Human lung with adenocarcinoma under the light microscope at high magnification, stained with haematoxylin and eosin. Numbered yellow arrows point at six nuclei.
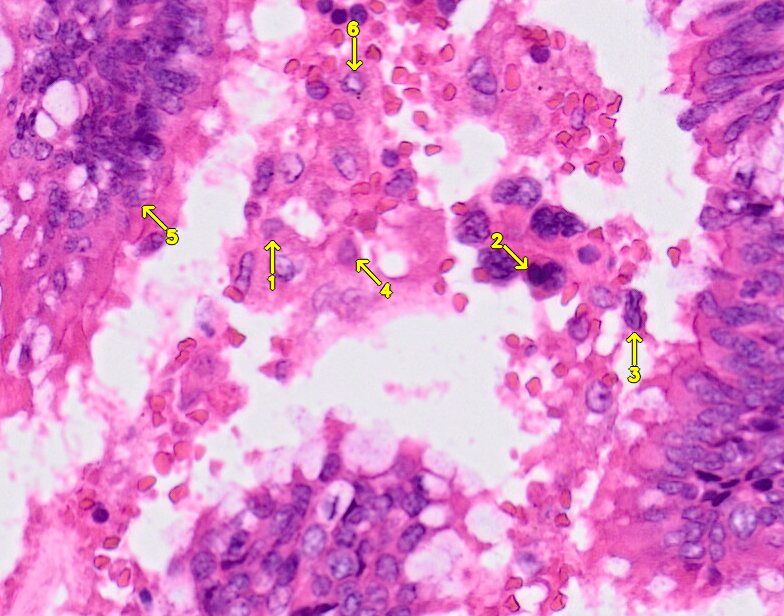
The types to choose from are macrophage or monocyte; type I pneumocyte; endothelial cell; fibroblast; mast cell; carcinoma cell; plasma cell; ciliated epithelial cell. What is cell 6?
macrophage or monocyte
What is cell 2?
carcinoma cell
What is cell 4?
macrophage or monocyte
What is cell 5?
ciliated epithelial cell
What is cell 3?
macrophage or monocyte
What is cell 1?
macrophage or monocyte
